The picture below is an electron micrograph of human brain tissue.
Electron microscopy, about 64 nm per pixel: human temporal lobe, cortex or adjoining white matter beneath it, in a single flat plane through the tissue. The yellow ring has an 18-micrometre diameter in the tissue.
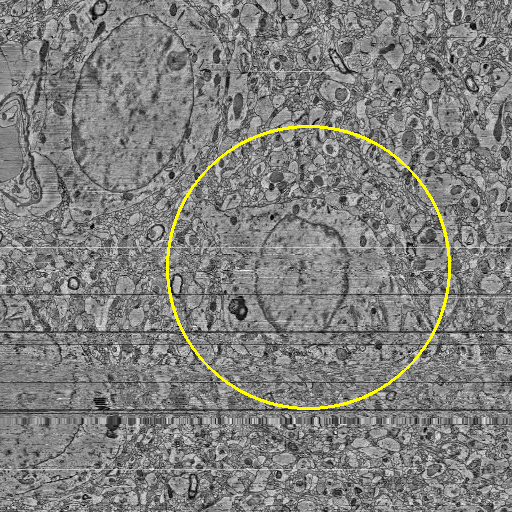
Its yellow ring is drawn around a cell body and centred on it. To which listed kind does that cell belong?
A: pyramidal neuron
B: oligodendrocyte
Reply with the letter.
A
